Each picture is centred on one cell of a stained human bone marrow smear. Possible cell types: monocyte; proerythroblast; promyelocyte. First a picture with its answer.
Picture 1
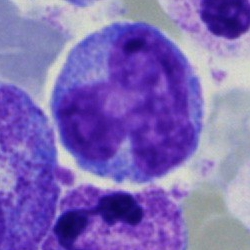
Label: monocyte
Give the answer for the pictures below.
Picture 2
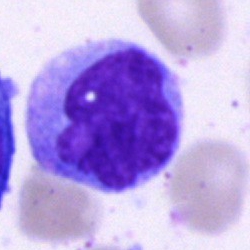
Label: monocyte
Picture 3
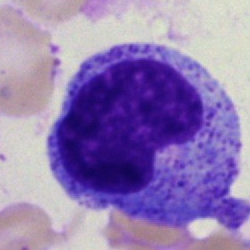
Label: promyelocyte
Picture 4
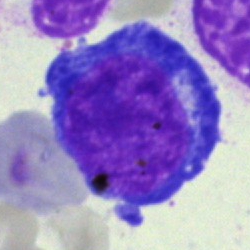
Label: proerythroblast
